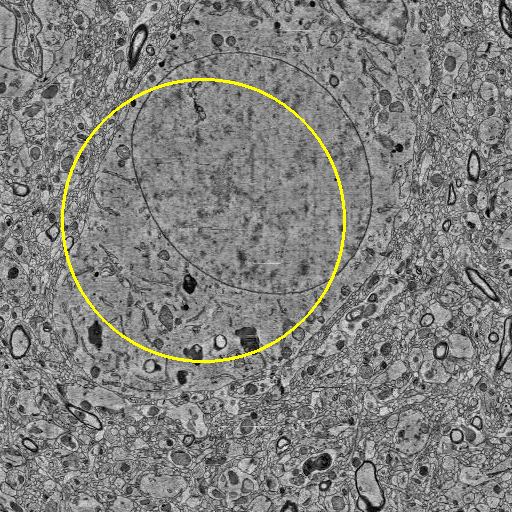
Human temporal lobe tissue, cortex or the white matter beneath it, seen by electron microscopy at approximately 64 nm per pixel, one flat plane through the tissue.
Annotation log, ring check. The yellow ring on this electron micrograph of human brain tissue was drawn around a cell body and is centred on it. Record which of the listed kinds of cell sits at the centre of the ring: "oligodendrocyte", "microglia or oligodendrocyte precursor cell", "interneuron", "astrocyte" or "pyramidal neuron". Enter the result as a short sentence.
The cell at the centre of the ring is a pyramidal neuron.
